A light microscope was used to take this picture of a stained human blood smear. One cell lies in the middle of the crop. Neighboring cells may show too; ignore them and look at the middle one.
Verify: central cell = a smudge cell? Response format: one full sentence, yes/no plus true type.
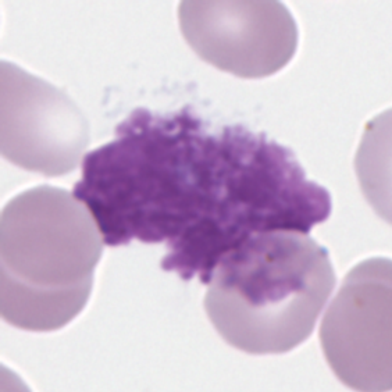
Yes, the cell in the exact middle is a smudge cell.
